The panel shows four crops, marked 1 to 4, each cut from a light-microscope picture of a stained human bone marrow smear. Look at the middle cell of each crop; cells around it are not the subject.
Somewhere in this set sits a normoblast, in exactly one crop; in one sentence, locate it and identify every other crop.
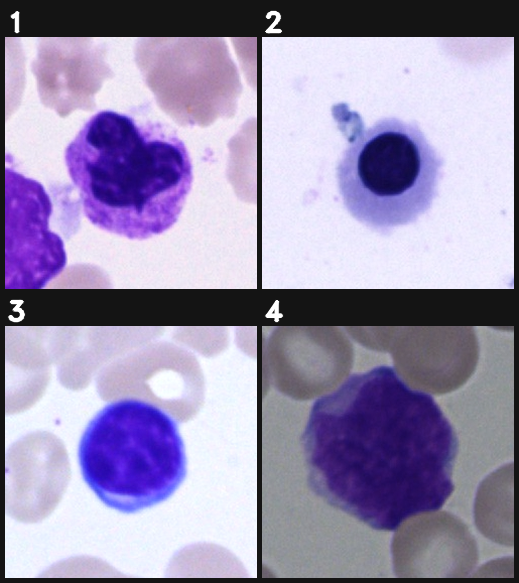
Crop 2 is identified as a normoblast, whereas crop 1 is a neutrophil, crop 3 is a lymphocyte and crop 4 is a blast.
